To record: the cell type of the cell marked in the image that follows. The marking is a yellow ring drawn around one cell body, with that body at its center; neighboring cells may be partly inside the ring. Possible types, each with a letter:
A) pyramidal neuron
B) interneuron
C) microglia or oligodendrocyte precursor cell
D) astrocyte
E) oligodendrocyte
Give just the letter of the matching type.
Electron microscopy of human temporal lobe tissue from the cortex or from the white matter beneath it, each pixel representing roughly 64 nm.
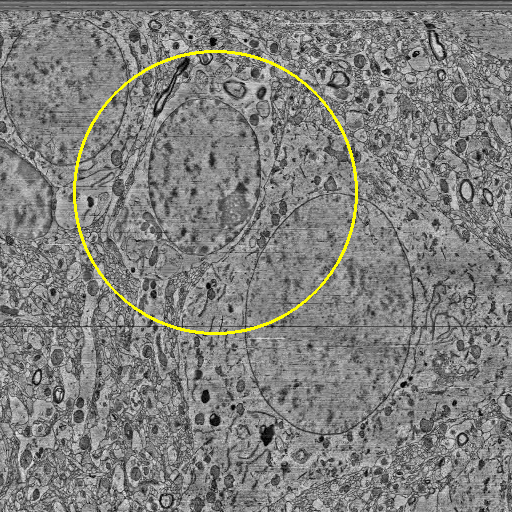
D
